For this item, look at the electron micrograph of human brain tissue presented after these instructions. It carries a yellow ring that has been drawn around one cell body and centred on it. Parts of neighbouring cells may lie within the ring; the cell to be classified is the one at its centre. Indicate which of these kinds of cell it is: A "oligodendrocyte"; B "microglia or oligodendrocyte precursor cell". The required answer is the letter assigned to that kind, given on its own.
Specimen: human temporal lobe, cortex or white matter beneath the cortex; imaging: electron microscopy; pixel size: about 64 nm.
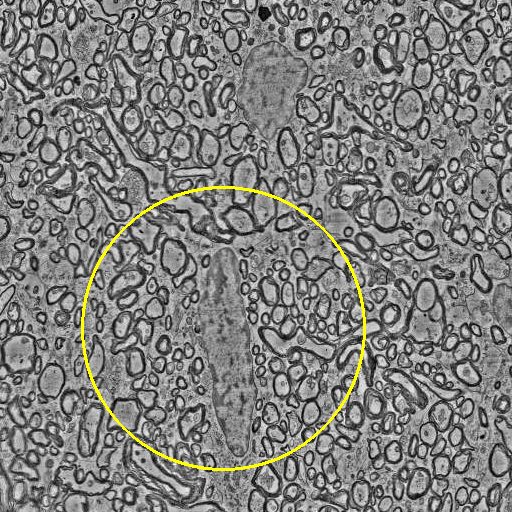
B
